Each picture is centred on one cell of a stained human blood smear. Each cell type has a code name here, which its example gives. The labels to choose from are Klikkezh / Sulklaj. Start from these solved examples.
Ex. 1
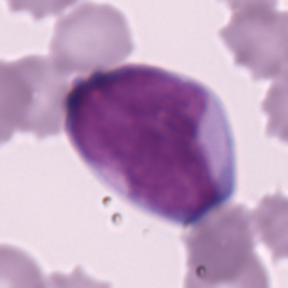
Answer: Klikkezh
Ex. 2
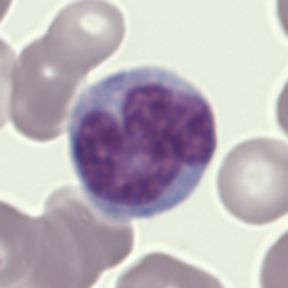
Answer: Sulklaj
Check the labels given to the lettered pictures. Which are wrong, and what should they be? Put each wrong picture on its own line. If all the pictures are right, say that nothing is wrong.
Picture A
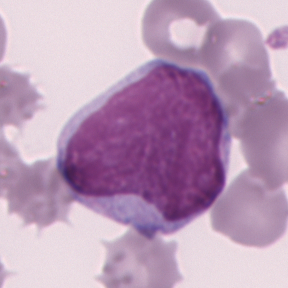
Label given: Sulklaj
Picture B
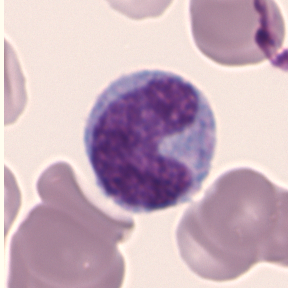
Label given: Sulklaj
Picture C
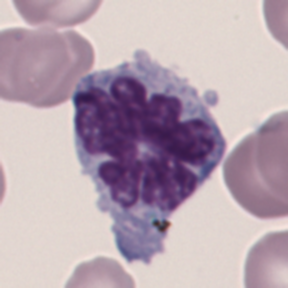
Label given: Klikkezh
A should be Klikkezh, not Sulklaj
C should be Sulklaj, not Klikkezh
